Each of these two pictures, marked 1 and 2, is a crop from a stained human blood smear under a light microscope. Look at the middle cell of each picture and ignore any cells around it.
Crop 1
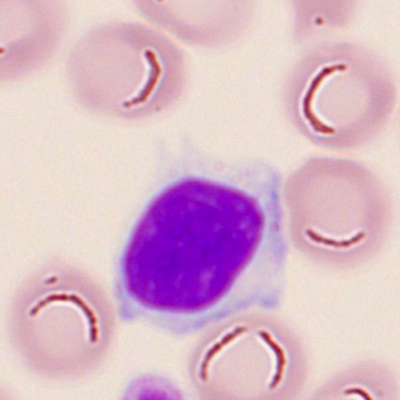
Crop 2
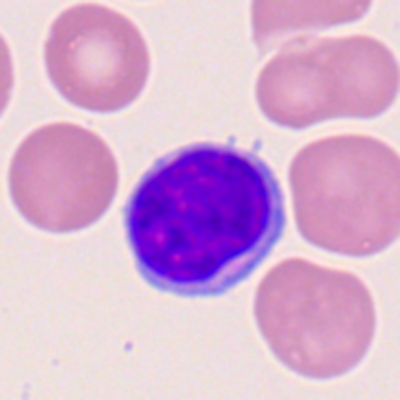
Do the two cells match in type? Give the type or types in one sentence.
Yes, lymphocytes are depicted in both crops.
